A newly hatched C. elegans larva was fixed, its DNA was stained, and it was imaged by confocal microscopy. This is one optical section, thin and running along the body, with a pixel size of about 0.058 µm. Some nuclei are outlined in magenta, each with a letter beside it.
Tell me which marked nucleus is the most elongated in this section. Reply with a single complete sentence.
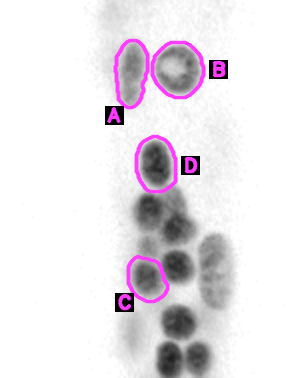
A is the most elongated.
